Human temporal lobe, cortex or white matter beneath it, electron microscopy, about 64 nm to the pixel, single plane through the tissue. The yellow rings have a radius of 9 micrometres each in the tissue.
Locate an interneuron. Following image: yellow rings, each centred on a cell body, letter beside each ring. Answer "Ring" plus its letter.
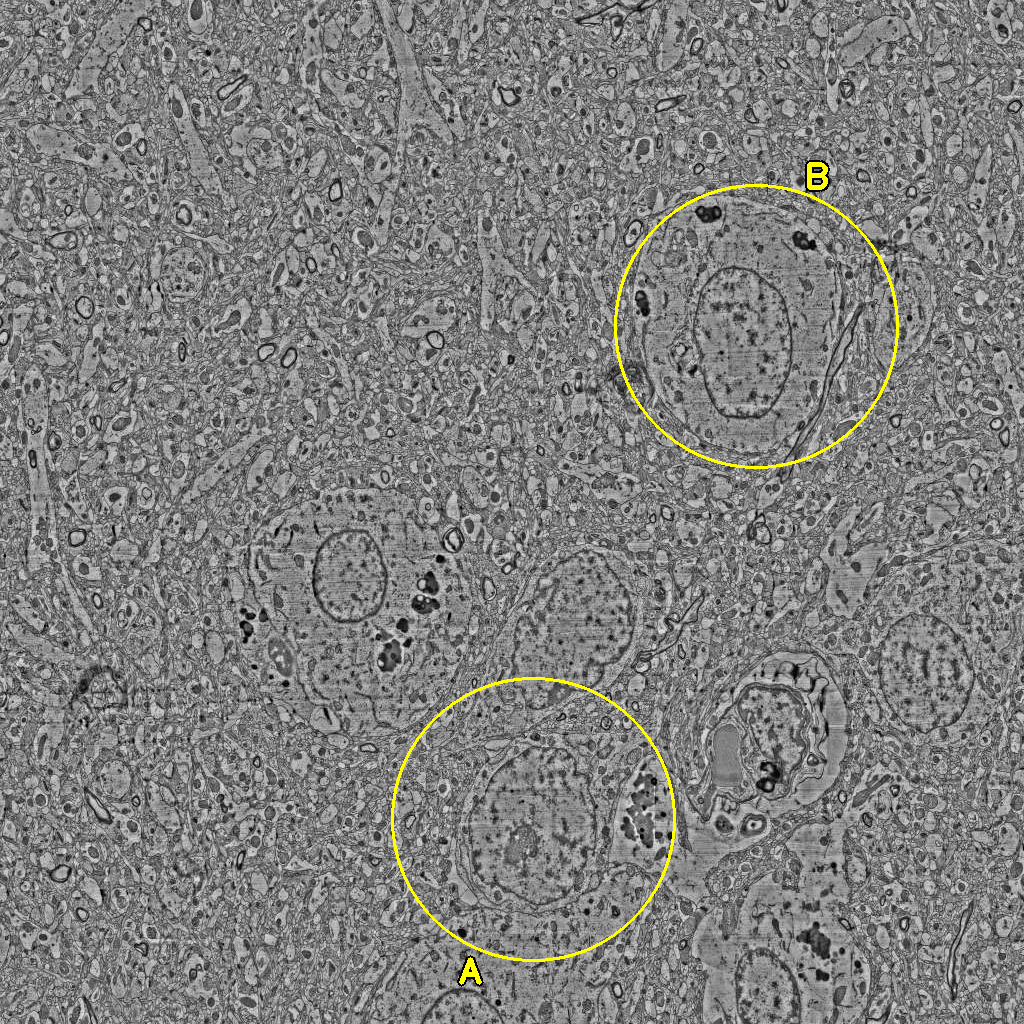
Ring A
